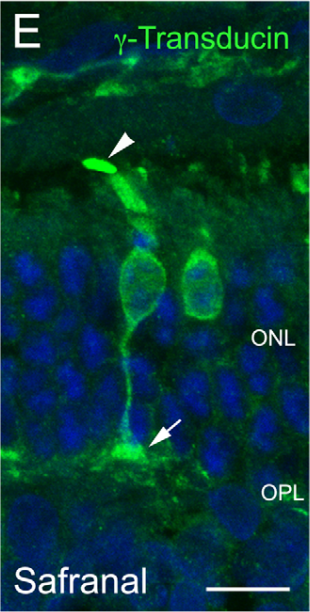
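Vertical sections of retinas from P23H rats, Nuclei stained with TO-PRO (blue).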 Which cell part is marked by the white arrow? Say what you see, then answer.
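A thin green fibre runs down from a labelled cell body through the nuclear layer. It ends in a broadened green triangular foot at the border of the plexiform layer.
Answer: pedicle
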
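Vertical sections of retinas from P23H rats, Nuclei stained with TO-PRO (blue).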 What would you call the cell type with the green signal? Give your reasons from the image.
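Cone. Only a few scattered cells among many blue nuclei are green. The green cell bodies sit in the outermost row of the nuclear layer.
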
